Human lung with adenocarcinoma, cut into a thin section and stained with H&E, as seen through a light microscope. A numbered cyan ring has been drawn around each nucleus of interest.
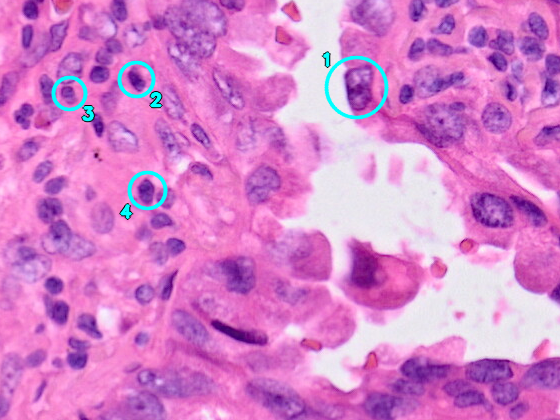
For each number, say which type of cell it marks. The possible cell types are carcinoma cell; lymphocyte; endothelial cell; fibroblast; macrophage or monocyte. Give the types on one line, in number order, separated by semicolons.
carcinoma cell; lymphocyte; lymphocyte; lymphocyte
